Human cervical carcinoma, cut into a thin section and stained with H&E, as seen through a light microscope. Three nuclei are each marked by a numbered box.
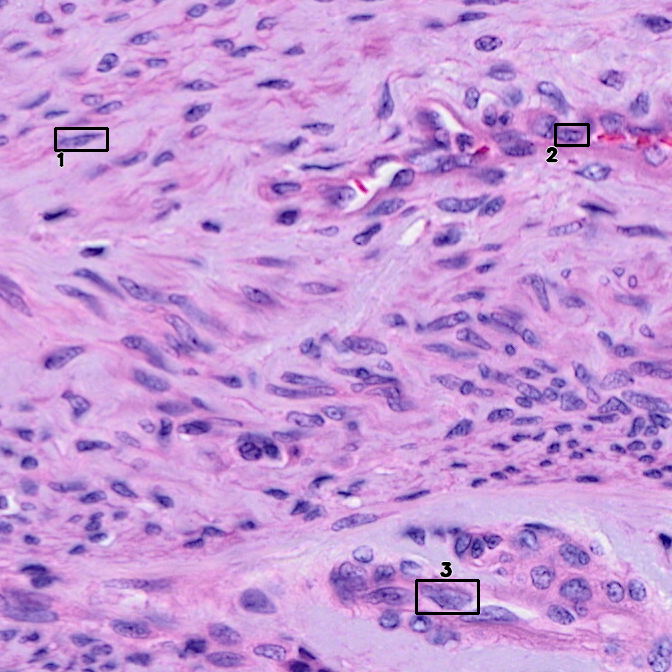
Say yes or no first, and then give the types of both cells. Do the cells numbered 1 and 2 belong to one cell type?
No, cell 1 is a smooth muscle cell and cell 2 is an endothelial cell.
